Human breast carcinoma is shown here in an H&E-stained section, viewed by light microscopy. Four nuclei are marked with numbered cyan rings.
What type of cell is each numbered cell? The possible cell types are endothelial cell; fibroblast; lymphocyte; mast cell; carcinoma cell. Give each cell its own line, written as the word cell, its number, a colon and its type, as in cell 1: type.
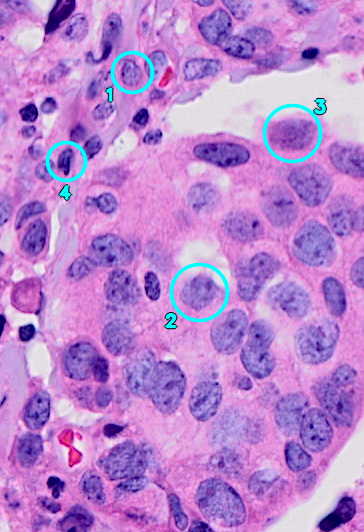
cell 1: endothelial cell
cell 2: carcinoma cell
cell 3: carcinoma cell
cell 4: lymphocyte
